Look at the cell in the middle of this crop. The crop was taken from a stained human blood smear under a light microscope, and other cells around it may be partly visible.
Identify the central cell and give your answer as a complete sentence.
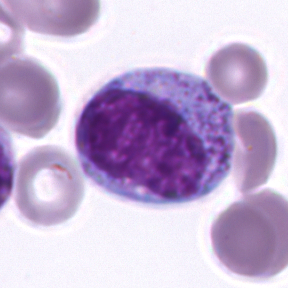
Here the cell in the middle is a metamyelocyte.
